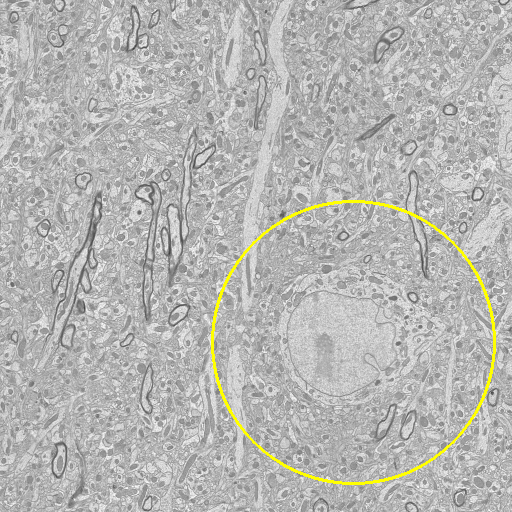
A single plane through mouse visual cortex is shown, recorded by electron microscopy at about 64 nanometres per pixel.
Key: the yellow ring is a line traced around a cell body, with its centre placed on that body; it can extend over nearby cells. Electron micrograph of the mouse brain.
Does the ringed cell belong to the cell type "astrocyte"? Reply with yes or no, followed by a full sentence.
No, the cell at the centre of the yellow ring in the picture is of another type.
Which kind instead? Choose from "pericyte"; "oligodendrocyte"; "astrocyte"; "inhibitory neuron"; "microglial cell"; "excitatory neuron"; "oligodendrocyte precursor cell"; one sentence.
That cell in the ring is an inhibitory neuron instead.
